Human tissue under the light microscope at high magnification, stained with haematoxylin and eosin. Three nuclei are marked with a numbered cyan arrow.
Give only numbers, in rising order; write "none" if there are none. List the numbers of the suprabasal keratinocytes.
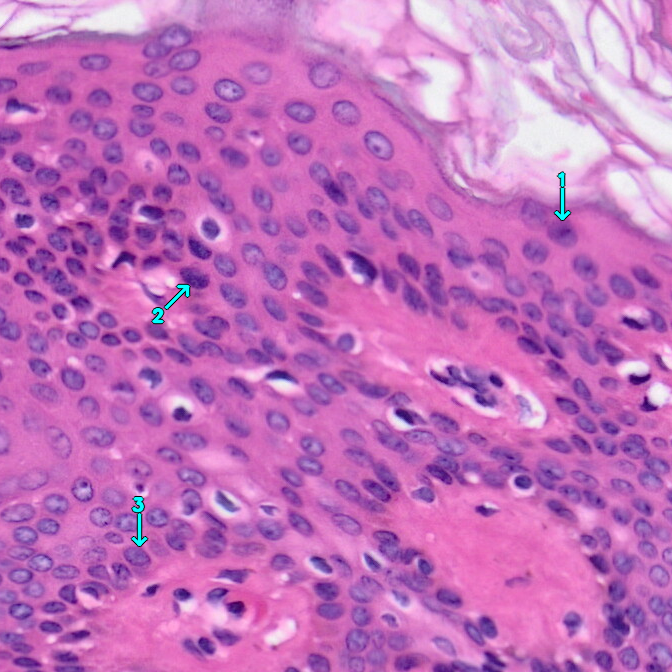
1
